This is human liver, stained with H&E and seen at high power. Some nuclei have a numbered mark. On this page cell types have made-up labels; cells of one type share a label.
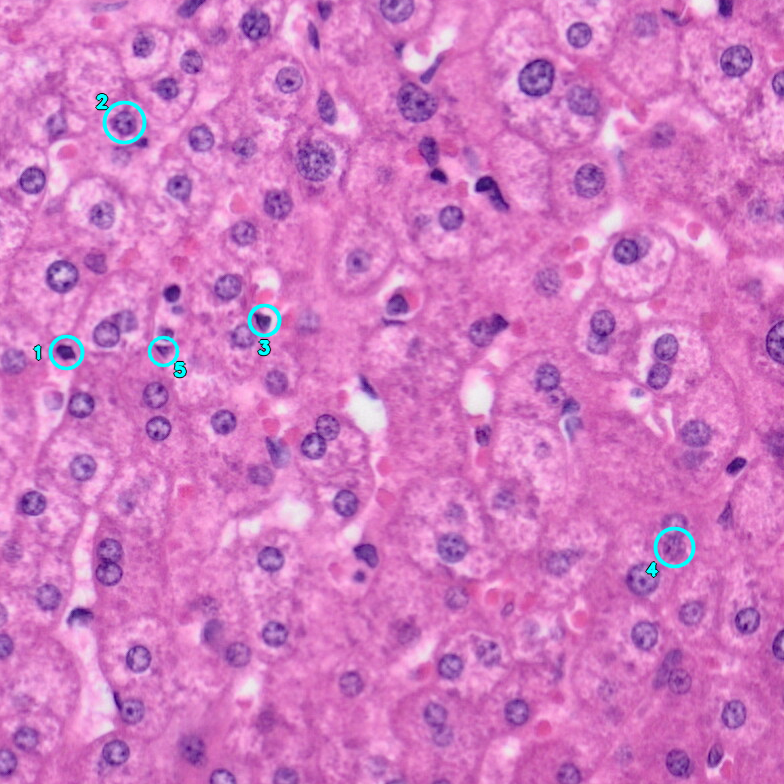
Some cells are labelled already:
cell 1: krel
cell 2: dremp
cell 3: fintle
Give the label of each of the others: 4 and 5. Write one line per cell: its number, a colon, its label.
4: dremp
5: krel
